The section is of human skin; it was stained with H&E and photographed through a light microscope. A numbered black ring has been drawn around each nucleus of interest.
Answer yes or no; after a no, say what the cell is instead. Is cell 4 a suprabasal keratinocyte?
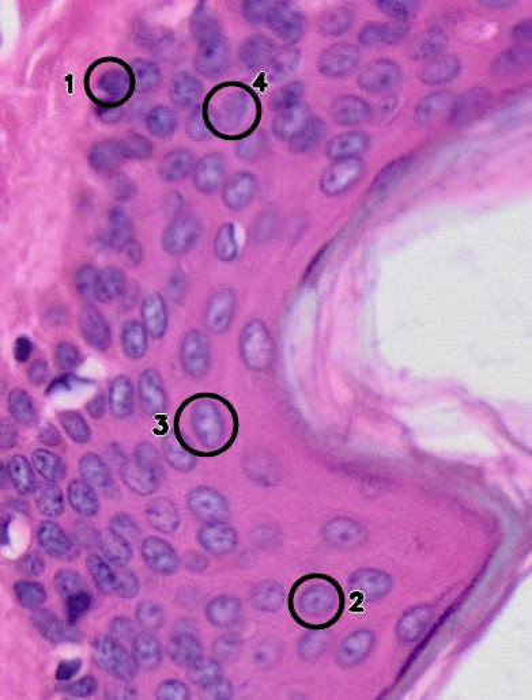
Yes.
